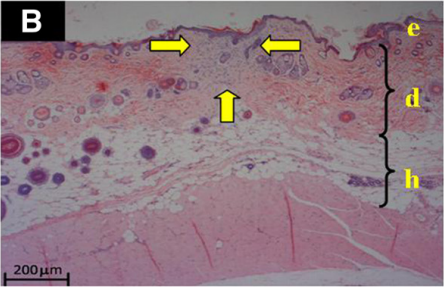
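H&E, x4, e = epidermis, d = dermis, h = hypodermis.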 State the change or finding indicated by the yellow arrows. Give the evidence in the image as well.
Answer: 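Wound area. The arrows point to a small pale region below the surface without hair follicles. Follicles are present in the dermis on either side of it.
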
